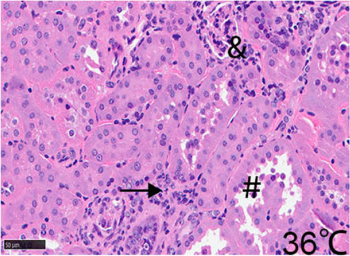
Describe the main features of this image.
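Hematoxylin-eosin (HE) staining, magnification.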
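This is kidney cortex in which pink-staining tubules lined by cuboidal epithelium with round purple nuclei are packed around a glomerulus at the top. Some tubules have widened, empty lumens, and between the tubules lie clusters of small, dark, round nuclei of infiltrating inflammatory cells.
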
